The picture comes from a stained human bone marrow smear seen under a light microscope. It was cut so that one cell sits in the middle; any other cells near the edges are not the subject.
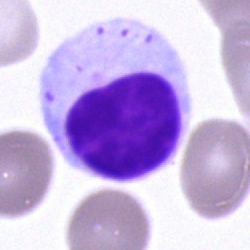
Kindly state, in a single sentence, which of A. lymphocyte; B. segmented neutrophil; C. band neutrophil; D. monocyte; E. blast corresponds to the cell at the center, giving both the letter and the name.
The middle of the crop contains a lymphocyte, so option A is right.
